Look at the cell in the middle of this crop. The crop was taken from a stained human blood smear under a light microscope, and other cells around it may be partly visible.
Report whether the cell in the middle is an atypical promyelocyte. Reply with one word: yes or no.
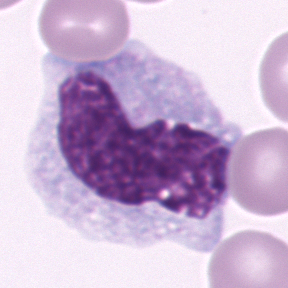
no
